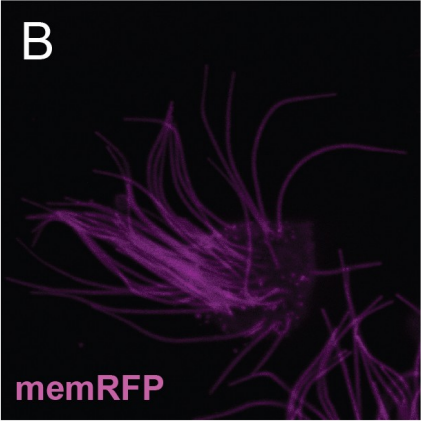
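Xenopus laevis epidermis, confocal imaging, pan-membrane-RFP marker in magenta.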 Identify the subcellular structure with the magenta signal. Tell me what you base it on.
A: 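Axonemes. Many long thin curved filaments emerge as a tuft from one cell surface.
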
